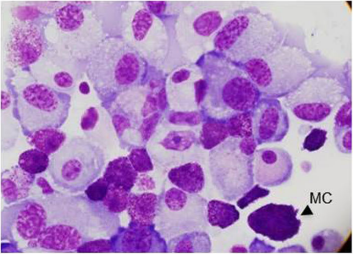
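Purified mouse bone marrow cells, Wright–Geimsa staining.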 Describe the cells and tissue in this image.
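The large cells have round to oval purple nuclei and abundant pale grey-blue cytoplasm, some with fine pink granules. The cells lie crowded and touching, with few cells showing segmented nuclei.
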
